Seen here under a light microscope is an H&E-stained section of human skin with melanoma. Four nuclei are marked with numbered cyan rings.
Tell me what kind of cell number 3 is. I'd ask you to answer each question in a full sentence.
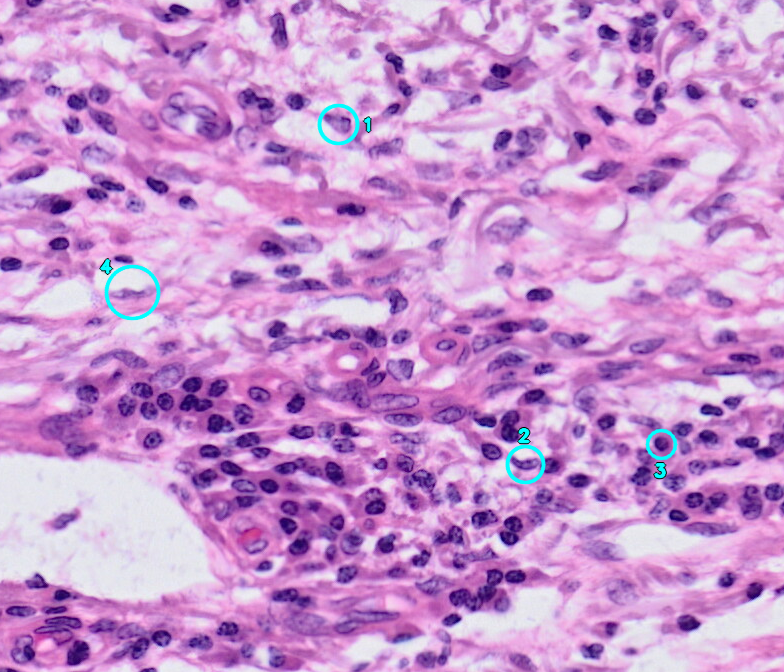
Recognised here as a plasma cell is the cell numbered 3.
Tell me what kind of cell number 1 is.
In this section, the cell numbered 1 is a fibroblast or myofibroblast.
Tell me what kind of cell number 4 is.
Heads up, the cell numbered 4 is a fibroblast or myofibroblast.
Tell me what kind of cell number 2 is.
In the tissue shown, cell 2 is a fibroblast or myofibroblast.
